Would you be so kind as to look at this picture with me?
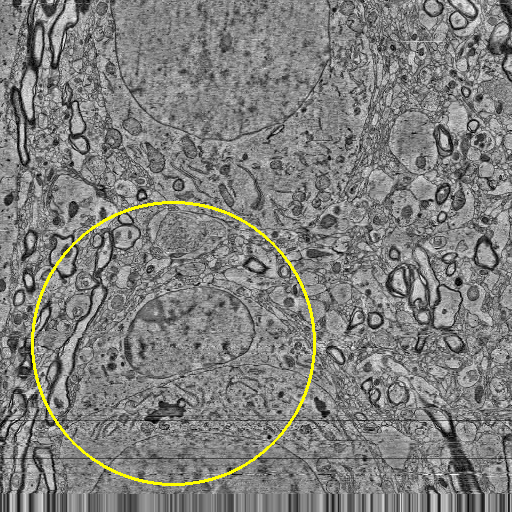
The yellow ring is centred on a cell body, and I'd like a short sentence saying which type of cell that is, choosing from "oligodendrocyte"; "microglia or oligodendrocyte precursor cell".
The cell body in the ring belongs to a microglial cell or oligodendrocyte precursor cell.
